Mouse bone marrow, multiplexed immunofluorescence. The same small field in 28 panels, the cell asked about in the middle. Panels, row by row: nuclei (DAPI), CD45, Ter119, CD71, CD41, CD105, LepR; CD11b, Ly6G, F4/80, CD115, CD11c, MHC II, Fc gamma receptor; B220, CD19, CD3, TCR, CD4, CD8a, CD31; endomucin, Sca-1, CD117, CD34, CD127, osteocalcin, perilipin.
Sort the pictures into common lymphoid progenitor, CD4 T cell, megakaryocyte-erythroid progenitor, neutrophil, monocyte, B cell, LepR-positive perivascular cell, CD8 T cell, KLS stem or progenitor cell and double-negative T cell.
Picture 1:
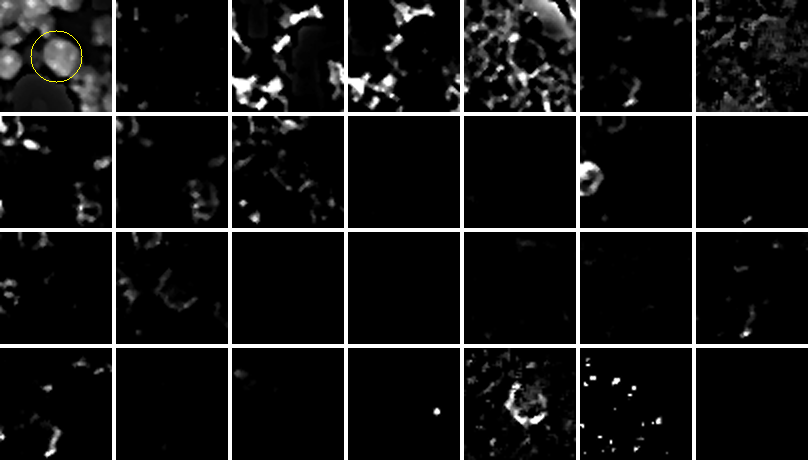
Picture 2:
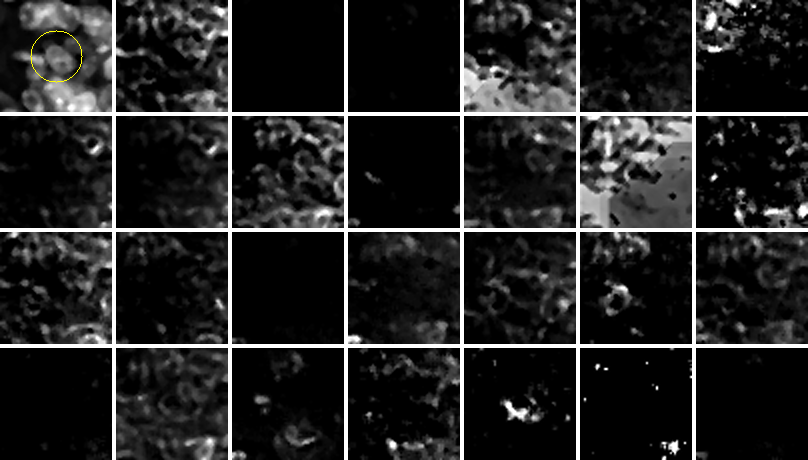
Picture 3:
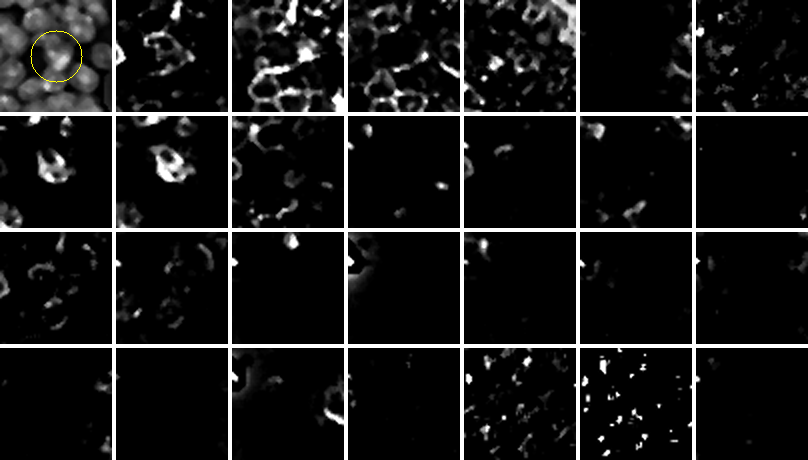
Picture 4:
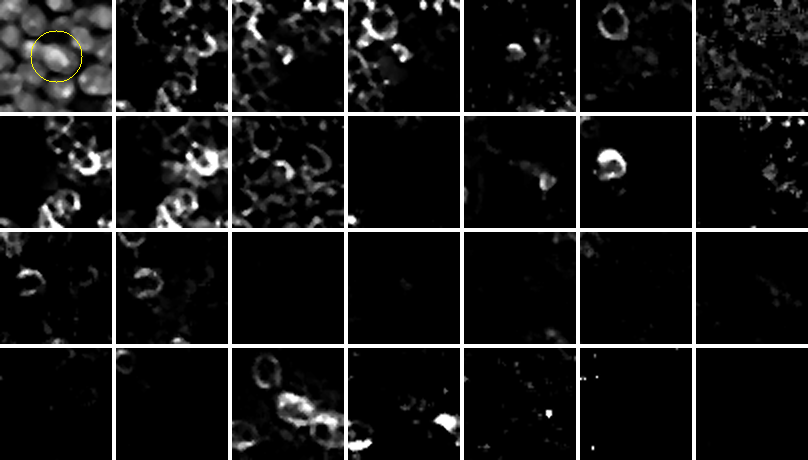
Common lymphoid progenitors: 1, 2
Neutrophils: 3
Megakaryocyte-erythroid progenitors: 4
